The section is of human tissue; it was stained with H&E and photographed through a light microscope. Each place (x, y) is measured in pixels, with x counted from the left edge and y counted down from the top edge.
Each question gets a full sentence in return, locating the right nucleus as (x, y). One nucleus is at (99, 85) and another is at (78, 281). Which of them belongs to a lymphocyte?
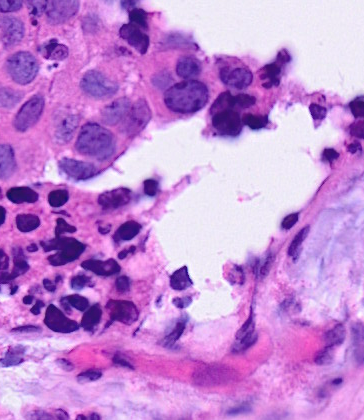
The nucleus of a lymphocyte lies at (78, 281), not at the other position.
